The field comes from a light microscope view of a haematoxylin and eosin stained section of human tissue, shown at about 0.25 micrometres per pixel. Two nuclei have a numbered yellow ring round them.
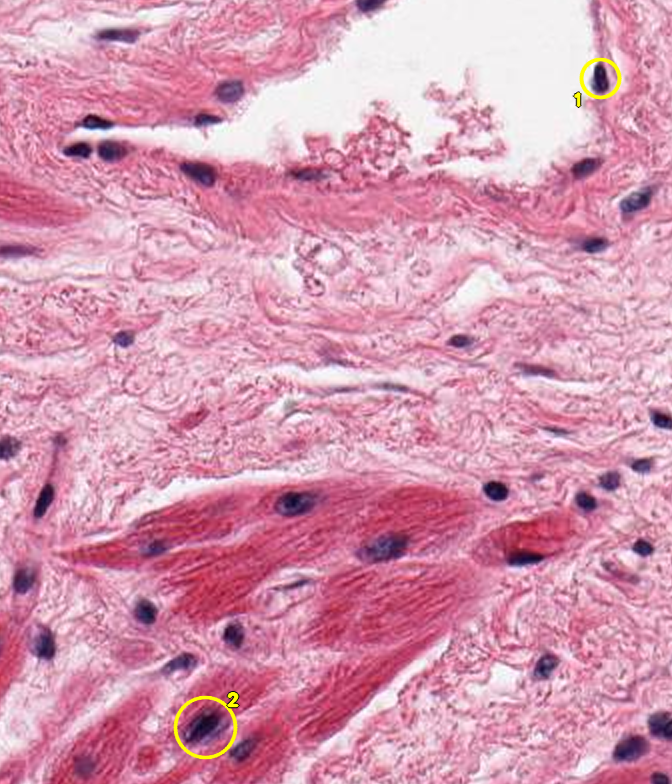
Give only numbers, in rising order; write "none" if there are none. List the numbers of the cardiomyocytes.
2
